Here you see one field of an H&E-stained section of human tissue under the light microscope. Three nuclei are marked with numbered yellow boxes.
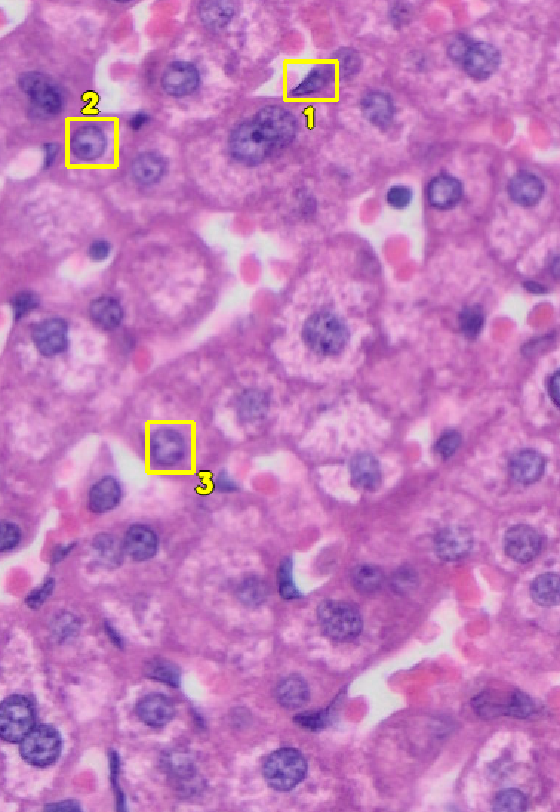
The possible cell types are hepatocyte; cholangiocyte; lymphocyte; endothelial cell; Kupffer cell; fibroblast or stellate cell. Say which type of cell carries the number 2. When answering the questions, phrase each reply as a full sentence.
Among the marked cells, number 2 is a hepatocyte.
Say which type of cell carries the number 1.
Denoted by the label 1 in the section is an endothelial cell.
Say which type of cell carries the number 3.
The cell assigned the number 3 is a hepatocyte.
